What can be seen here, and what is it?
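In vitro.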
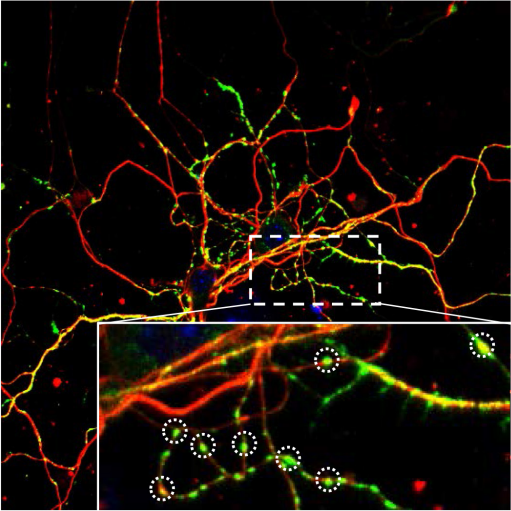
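Cultured neurons with a network of long, thin processes on a dark background. Several red processes are thick and bundled, while finer branches carry rows of green puncta. Where the branches are dense they appear yellow from overlap of both colours. The enlarged inset shows beaded processes with green puncta, several of which also carry red and are circled.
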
